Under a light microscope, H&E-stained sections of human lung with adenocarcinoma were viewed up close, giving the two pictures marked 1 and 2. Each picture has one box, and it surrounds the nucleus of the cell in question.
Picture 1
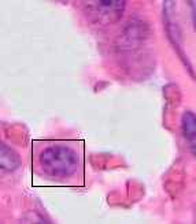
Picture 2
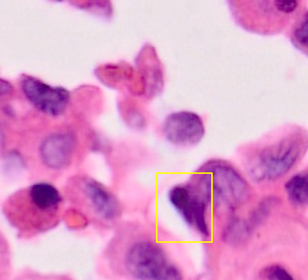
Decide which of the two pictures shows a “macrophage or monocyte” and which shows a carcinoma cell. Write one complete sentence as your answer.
Picture 1 shows a “macrophage or monocyte” and picture 2 shows a carcinoma cell.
